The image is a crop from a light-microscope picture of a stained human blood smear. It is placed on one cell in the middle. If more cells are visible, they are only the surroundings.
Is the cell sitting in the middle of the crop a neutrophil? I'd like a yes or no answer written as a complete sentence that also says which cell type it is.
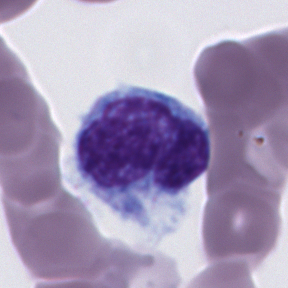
No, the correct answer for the middle cell is a monocyte, not a neutrophil.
